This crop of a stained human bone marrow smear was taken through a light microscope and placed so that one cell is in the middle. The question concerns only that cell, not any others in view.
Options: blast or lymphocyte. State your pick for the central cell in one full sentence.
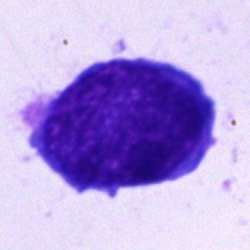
The cell of interest, located centrally, is a blast.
